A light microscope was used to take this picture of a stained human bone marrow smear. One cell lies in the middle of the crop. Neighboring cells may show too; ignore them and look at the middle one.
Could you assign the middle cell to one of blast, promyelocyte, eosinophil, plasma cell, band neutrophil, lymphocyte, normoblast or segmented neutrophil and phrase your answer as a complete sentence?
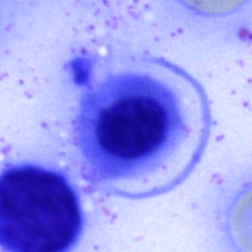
The single cell at the center of the crop is a normoblast.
